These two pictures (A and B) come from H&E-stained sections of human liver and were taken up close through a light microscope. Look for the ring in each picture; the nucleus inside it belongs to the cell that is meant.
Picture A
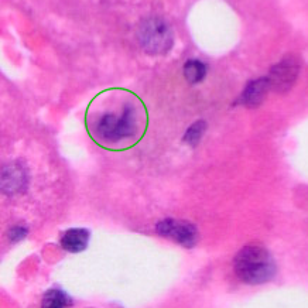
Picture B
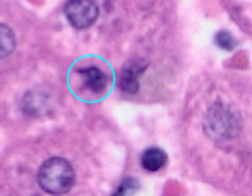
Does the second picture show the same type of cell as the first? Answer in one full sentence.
No; the cell in picture A is a Kupffer cell, while the one in picture B is a “fibroblast or stellate cell”.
